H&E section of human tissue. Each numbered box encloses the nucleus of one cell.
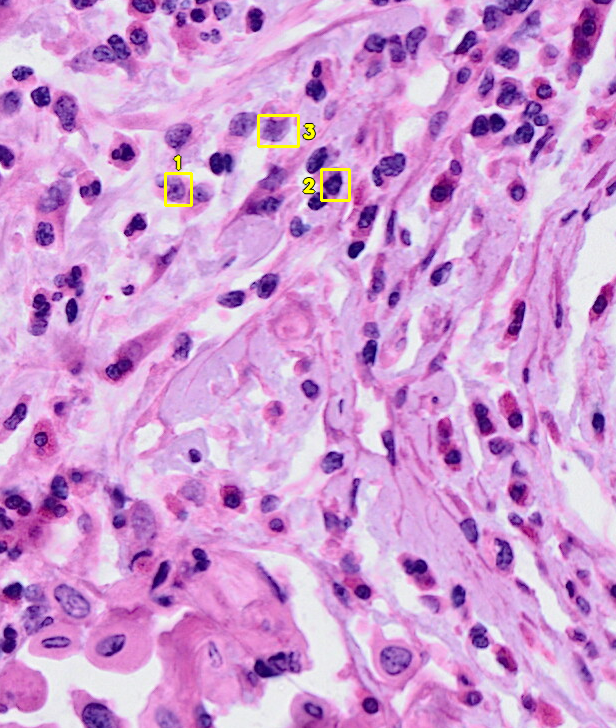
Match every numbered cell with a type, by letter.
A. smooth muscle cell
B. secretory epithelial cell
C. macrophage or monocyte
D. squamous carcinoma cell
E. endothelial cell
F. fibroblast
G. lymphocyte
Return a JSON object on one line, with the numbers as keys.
{"1": "C", "2": "G", "3": "C"}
